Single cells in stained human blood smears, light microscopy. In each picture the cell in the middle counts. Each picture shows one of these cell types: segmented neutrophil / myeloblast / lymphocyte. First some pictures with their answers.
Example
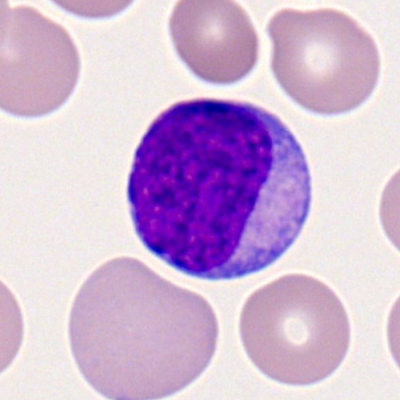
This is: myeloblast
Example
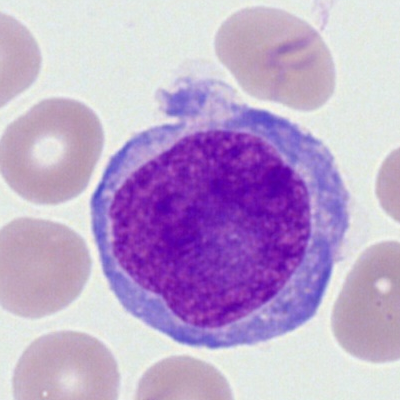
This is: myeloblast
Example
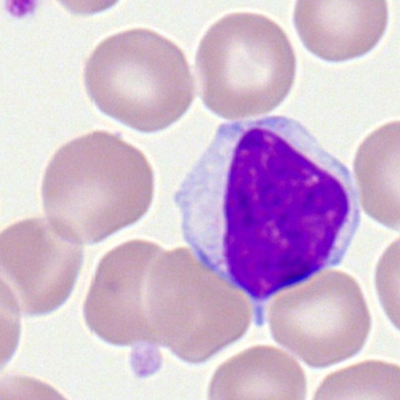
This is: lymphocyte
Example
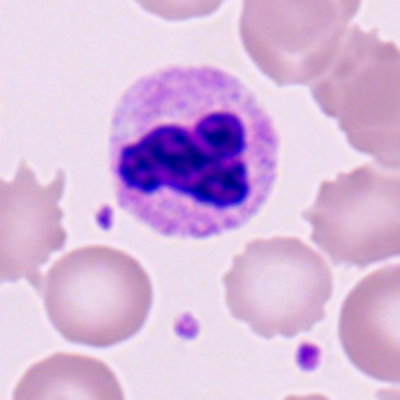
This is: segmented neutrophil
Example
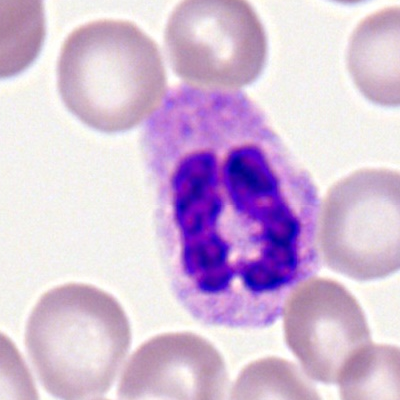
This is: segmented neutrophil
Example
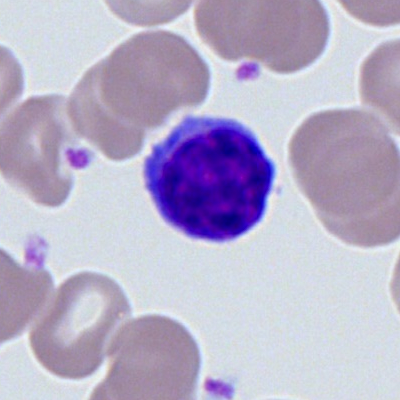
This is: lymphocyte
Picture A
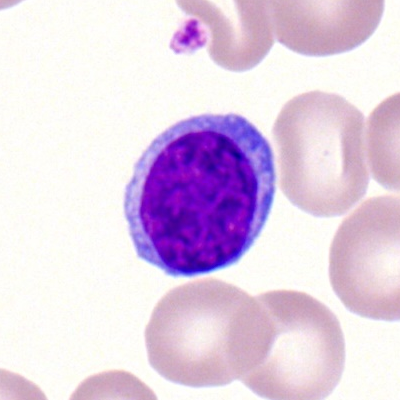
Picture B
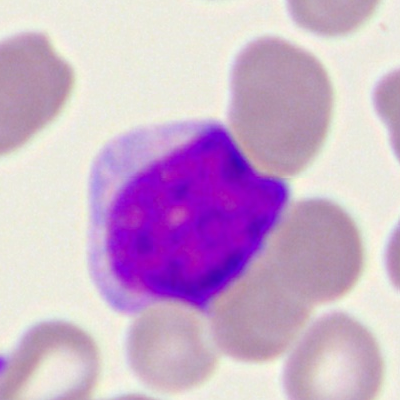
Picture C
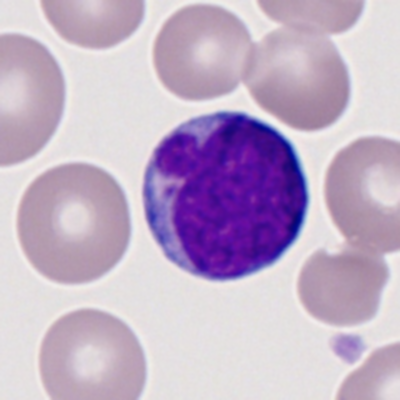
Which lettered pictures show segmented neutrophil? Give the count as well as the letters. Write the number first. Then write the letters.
0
